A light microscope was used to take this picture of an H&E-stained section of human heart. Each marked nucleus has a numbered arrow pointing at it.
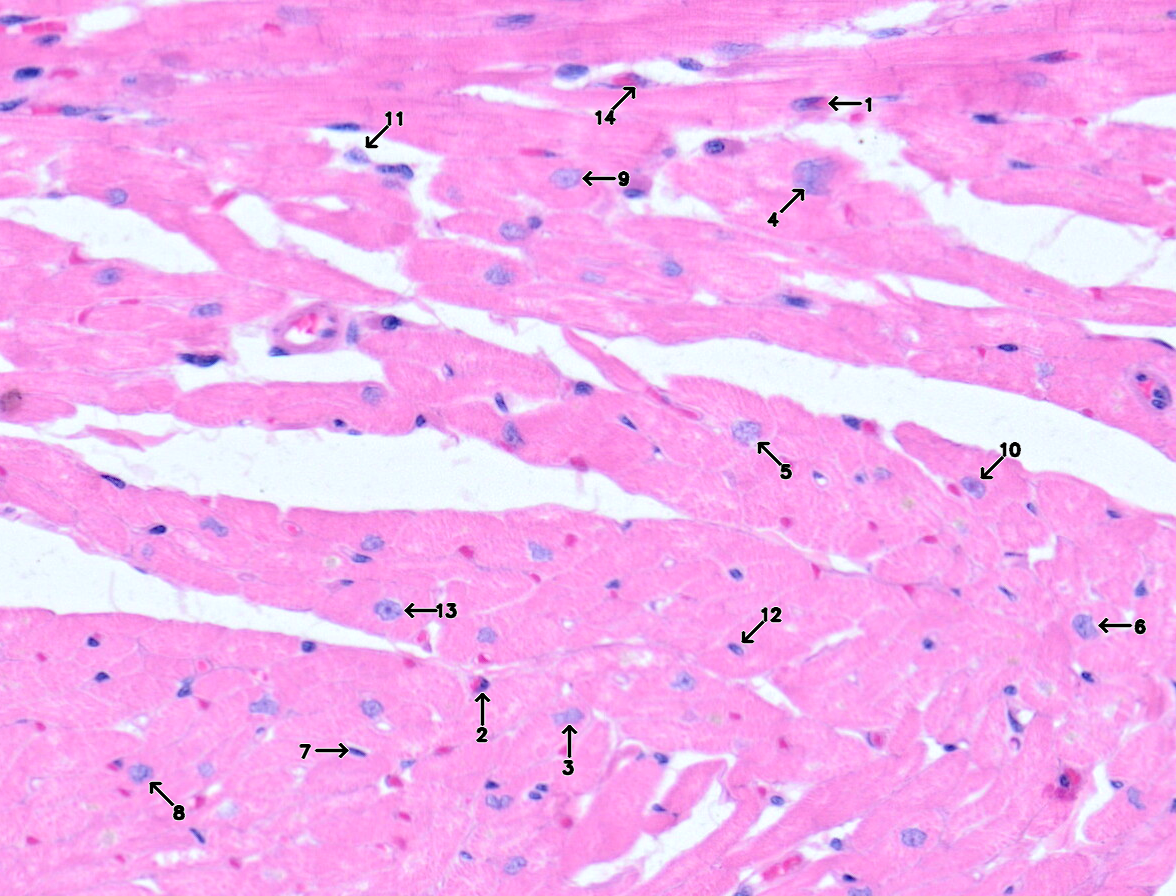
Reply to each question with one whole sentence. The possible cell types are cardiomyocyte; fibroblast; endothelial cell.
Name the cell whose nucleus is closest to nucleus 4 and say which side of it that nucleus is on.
The closest nucleus belongs to an endothelial cell and sits above nucleus 4.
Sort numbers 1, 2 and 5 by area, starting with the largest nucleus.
Largest first, the order by area is 5, 1, 2.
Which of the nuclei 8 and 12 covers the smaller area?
Nucleus 12 is the smaller one; nucleus 8 covers about 2.5 times its area.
